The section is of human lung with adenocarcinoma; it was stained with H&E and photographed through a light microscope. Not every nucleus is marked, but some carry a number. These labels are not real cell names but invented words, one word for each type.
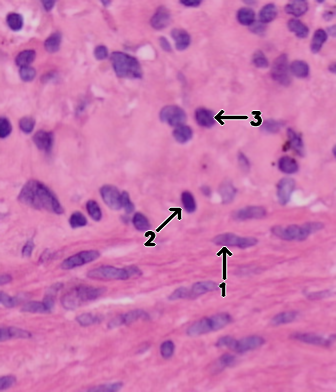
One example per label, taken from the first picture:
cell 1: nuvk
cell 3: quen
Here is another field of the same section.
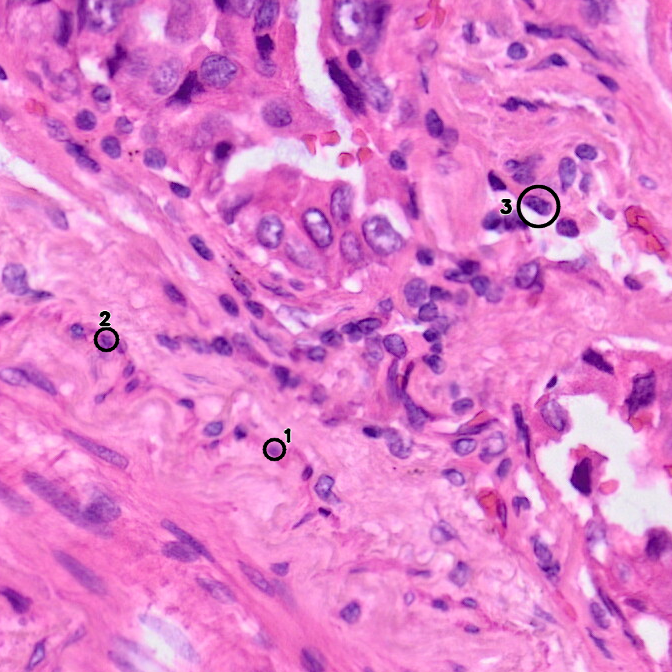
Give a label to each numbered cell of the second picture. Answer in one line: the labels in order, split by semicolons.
nuvk; nuvk; quen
